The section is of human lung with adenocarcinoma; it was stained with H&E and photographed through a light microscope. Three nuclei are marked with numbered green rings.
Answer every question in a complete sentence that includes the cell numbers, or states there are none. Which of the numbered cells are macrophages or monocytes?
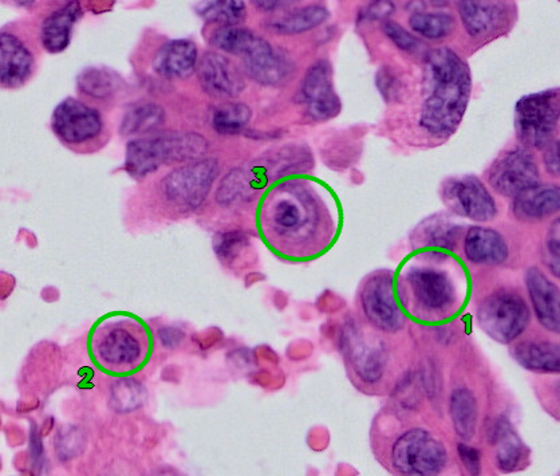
There is only one numbered cell that is a macrophage or monocyte, and it is cell 2.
